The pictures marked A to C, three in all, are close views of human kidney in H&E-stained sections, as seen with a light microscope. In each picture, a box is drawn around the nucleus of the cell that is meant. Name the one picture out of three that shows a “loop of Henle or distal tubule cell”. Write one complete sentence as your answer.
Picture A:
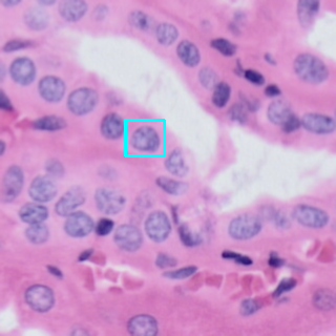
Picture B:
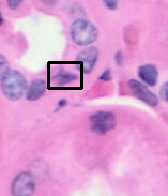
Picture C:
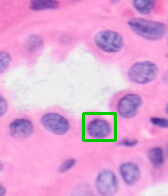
The picture with the “loop of Henle or distal tubule cell” is C.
